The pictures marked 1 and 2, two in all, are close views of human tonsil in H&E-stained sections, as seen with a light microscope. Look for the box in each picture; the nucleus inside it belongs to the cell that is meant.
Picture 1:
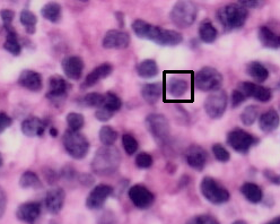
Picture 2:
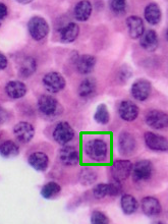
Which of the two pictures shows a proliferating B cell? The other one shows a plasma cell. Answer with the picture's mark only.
1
